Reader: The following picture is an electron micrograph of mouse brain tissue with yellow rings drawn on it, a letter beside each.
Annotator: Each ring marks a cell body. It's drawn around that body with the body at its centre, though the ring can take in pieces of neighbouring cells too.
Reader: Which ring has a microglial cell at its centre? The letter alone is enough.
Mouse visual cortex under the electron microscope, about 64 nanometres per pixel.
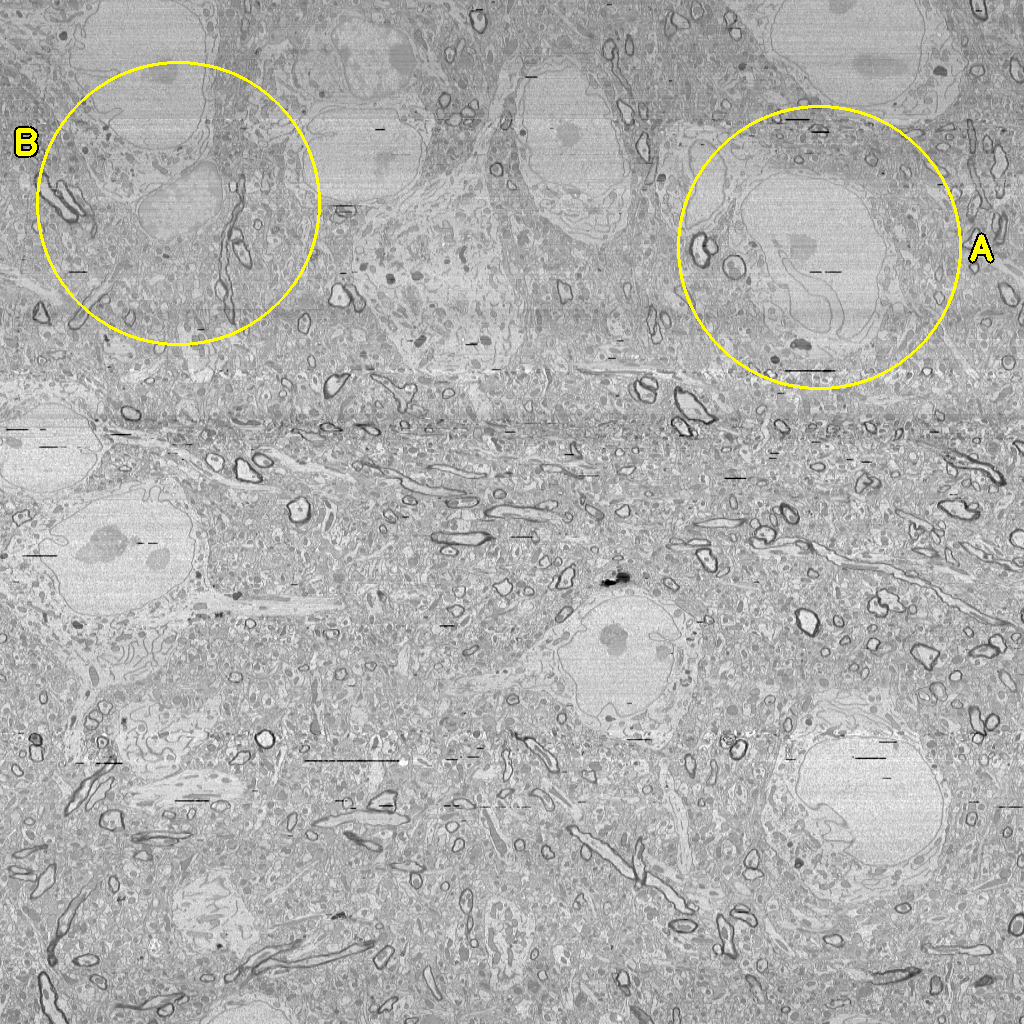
B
